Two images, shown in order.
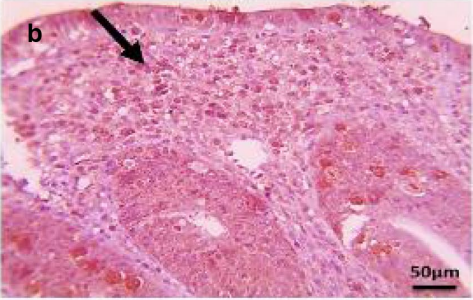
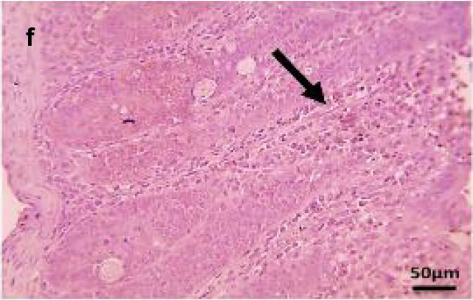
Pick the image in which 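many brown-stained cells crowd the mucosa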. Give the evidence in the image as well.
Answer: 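The first image. Second image: the mucosa is mostly pale pink with only few scattered brownish cells. First image: numerous reddish-brown stained round cells are densely packed in the tissue under the surface epithelium and around the glands.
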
